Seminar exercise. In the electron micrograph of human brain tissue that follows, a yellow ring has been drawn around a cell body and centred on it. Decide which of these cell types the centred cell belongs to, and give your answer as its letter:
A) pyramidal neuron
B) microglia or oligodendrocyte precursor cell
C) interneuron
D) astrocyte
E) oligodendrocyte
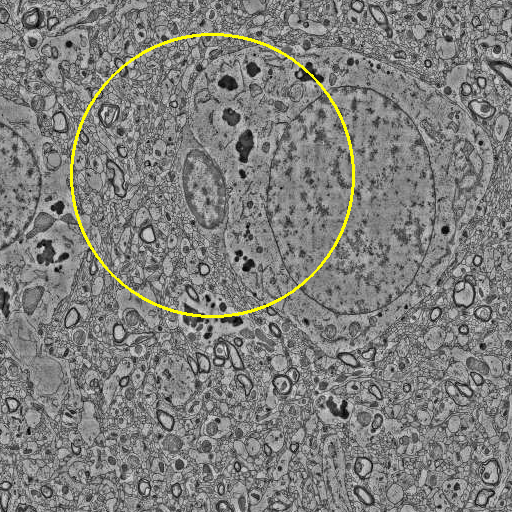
E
